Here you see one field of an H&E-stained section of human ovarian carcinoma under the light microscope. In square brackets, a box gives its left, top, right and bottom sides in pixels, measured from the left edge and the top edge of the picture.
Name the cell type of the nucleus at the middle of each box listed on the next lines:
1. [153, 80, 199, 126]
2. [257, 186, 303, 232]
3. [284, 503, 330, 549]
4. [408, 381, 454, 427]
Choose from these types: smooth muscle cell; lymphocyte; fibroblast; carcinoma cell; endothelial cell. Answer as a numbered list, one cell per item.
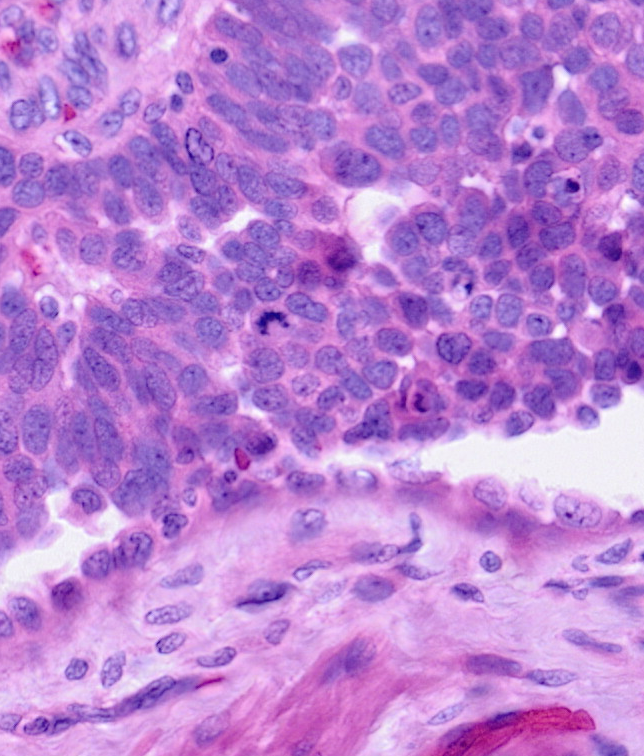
1. lymphocyte
2. carcinoma cell
3. fibroblast
4. carcinoma cell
